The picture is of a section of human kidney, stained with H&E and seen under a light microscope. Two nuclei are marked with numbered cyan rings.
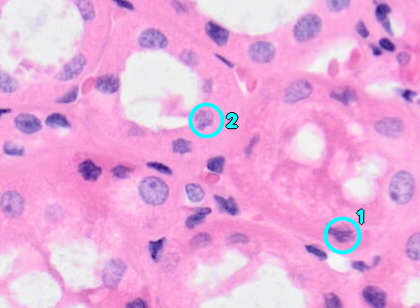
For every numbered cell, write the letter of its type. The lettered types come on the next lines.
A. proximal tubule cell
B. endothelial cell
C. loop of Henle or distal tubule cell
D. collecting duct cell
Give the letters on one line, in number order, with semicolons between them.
A; C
